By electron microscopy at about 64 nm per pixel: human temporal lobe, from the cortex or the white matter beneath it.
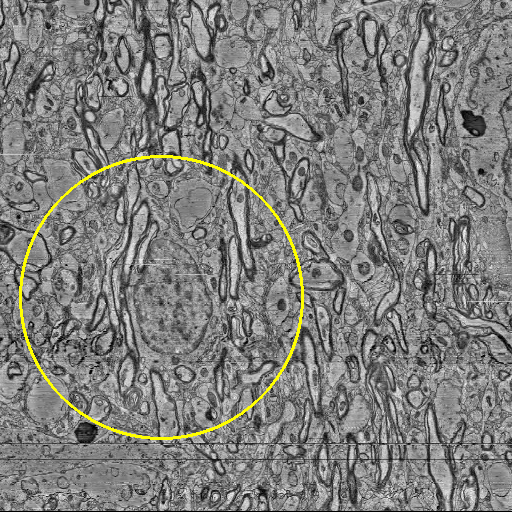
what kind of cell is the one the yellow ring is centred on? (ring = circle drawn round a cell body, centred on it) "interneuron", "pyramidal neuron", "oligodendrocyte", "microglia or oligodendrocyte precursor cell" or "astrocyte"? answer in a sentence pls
The ring is drawn around an oligodendrocyte.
